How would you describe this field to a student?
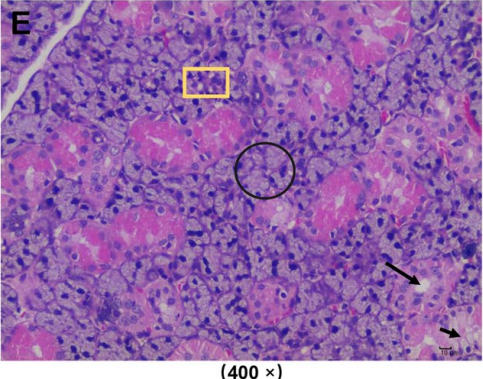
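This salivary gland section shows densely packed serous acini among small ductal profiles, with pale vacuolated cells. The acini form clusters of cells with dark round nuclei and purple, finely granular or clear cytoplasm. Scattered through the field are tubular profiles whose cells have bright pink, granular apical cytoplasm surrounding narrow lumens; these are relatively small. In places the cytoplasm appears clear and empty, giving a vacuolated look between nuclei. A thin white cleft crosses the upper left corner, and no wide open duct lumens are seen.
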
